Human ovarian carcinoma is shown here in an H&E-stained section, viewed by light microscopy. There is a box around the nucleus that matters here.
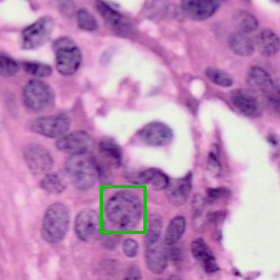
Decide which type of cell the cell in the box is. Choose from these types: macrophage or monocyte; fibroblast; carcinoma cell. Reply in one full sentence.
At the level of cell identity, the cell in the box is a carcinoma cell.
